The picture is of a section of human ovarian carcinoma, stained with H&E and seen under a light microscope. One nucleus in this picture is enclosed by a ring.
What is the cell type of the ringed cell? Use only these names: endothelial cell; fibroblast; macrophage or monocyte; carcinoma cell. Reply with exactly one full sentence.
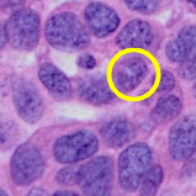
To be brief about it, the ringed cell is a carcinoma cell.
